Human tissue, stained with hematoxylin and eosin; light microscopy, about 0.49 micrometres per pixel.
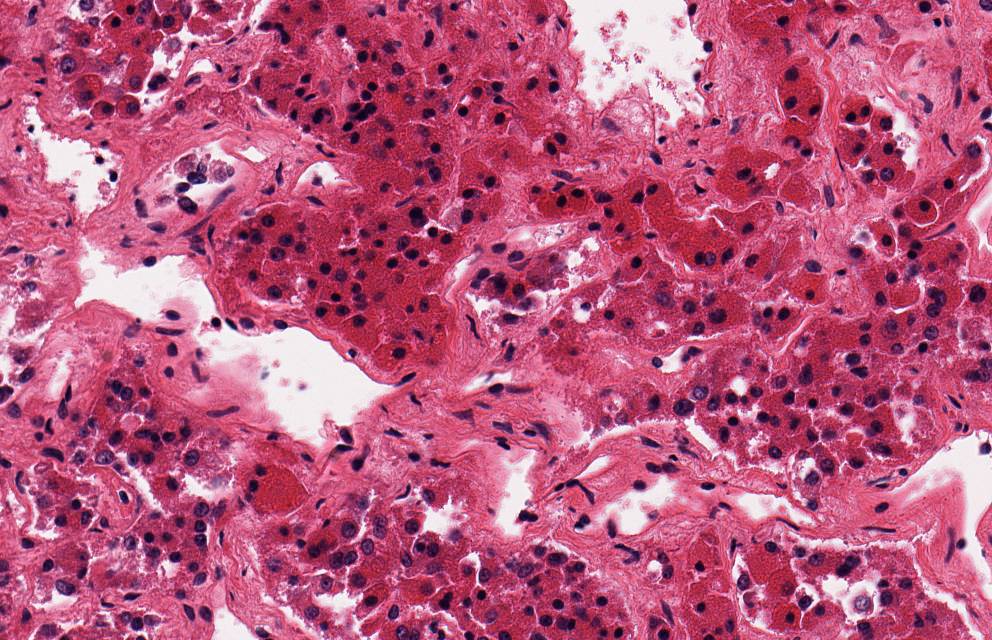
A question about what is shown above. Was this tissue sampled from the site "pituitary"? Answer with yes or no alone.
yes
